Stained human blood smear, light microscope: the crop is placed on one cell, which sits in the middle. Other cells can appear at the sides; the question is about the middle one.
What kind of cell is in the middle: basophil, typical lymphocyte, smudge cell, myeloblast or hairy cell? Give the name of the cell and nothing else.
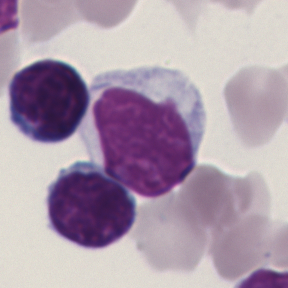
myeloblast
